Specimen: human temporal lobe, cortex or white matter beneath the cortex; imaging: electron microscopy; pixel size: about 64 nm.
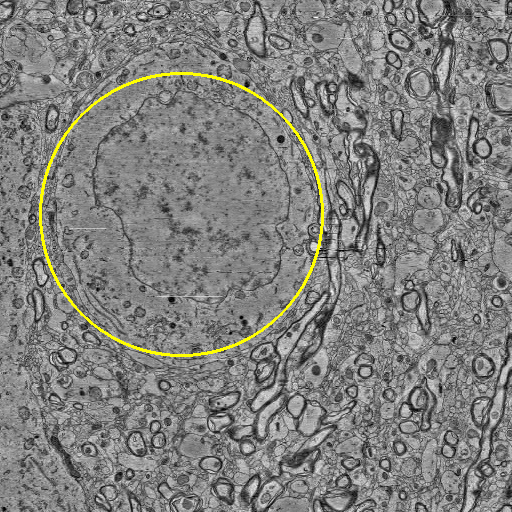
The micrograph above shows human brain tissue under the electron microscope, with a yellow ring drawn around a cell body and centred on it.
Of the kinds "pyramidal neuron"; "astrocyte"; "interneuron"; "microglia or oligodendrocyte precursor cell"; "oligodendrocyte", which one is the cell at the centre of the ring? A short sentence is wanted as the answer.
The one at the centre of the ring is a pyramidal neuron.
